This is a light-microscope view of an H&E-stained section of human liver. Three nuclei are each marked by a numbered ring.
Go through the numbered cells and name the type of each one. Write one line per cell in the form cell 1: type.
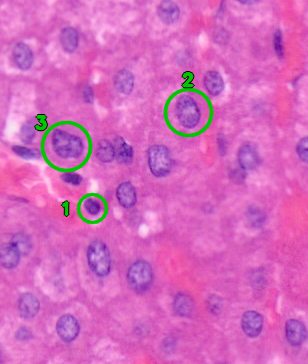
cell 1: lymphocyte
cell 2: hepatocyte
cell 3: hepatocyte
